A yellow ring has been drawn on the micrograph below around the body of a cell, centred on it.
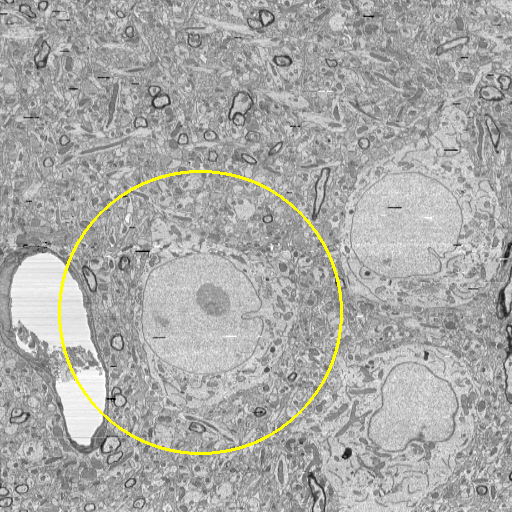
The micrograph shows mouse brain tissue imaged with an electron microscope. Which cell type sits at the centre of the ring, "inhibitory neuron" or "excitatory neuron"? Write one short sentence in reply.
The cell sitting at the centre of the ring is an excitatory neuron.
